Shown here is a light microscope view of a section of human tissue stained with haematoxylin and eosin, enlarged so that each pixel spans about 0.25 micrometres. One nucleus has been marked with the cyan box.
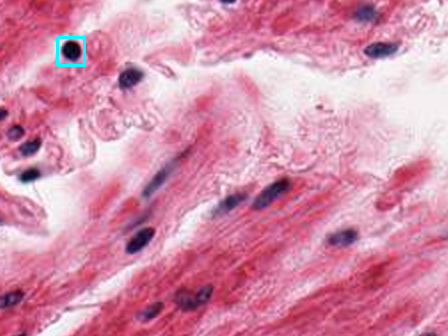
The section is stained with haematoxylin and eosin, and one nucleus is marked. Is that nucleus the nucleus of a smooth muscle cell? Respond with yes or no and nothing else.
no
